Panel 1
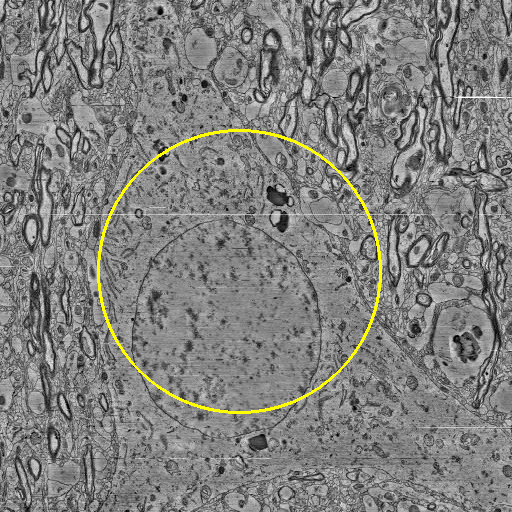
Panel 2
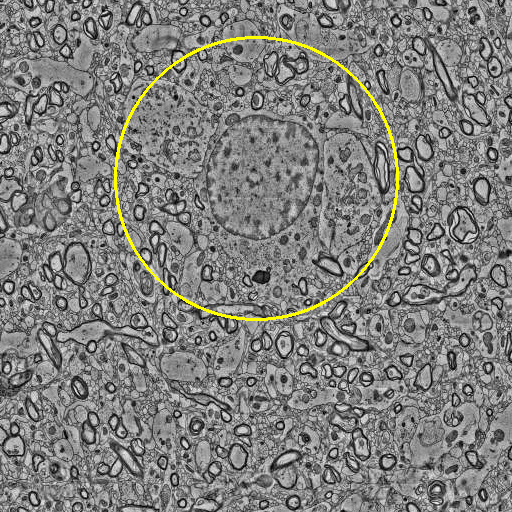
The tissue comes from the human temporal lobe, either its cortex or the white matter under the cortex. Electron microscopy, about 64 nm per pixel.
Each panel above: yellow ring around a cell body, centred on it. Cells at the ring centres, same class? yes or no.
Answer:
no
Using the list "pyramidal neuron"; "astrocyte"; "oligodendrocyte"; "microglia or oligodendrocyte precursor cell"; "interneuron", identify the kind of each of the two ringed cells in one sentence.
The first is a pyramidal neuron and the second is an oligodendrocyte.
